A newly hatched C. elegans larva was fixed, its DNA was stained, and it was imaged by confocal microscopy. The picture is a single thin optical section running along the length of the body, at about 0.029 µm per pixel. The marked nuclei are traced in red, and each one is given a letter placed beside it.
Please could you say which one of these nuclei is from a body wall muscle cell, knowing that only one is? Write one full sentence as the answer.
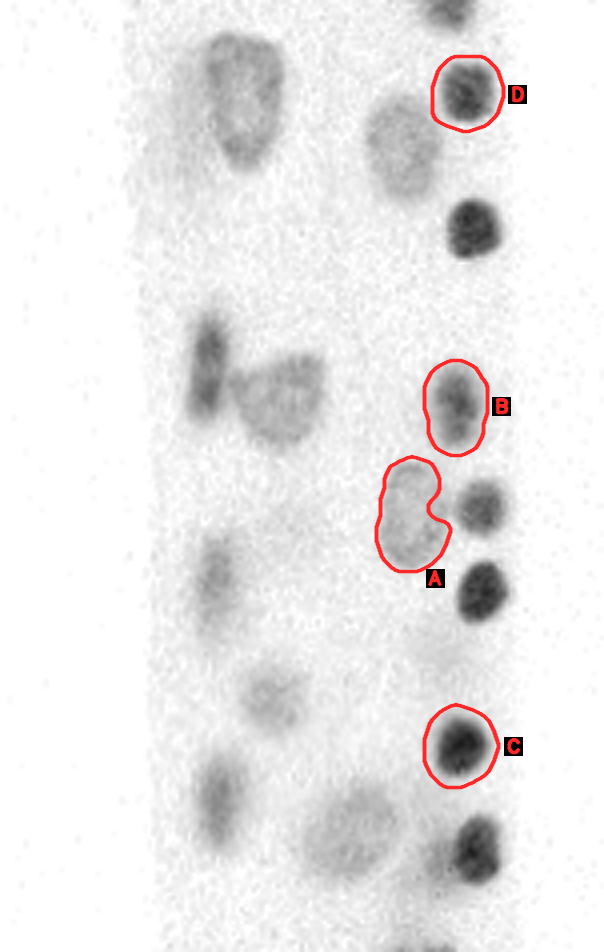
The nucleus of a body wall muscle cell is B.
